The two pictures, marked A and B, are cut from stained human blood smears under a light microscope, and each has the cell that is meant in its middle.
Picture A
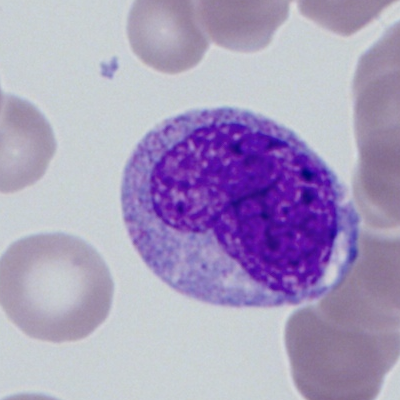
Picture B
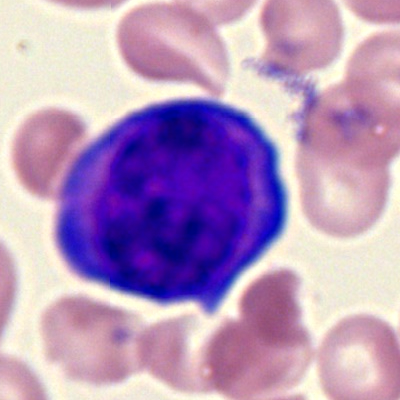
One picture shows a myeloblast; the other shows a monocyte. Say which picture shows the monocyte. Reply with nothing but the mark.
A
